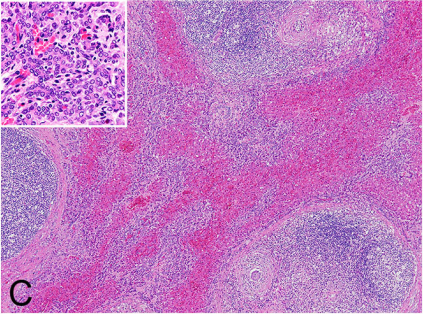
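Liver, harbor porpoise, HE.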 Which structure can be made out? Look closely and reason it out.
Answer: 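Several large round dense dark-purple aggregates of small round cells.
Large lymphoid follicles.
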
